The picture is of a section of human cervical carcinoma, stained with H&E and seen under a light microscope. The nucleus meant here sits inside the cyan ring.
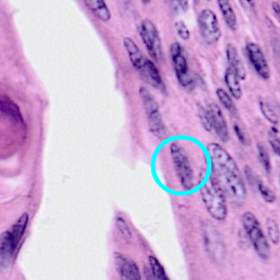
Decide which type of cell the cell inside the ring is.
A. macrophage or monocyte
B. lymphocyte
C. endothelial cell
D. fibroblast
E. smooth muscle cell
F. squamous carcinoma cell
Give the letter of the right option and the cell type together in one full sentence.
The correct option is F, and the cell inside the ring is a squamous carcinoma cell.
